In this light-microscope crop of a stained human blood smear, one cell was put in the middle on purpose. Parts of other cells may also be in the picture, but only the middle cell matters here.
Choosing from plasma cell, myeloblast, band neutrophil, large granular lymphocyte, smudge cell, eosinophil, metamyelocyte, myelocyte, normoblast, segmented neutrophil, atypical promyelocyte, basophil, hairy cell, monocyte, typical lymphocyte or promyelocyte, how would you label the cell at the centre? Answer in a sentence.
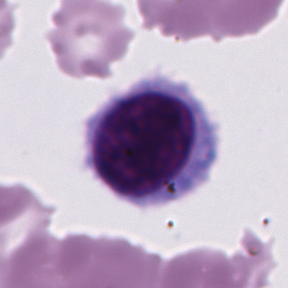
The cell featured at the centre of this crop is a hairy cell.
